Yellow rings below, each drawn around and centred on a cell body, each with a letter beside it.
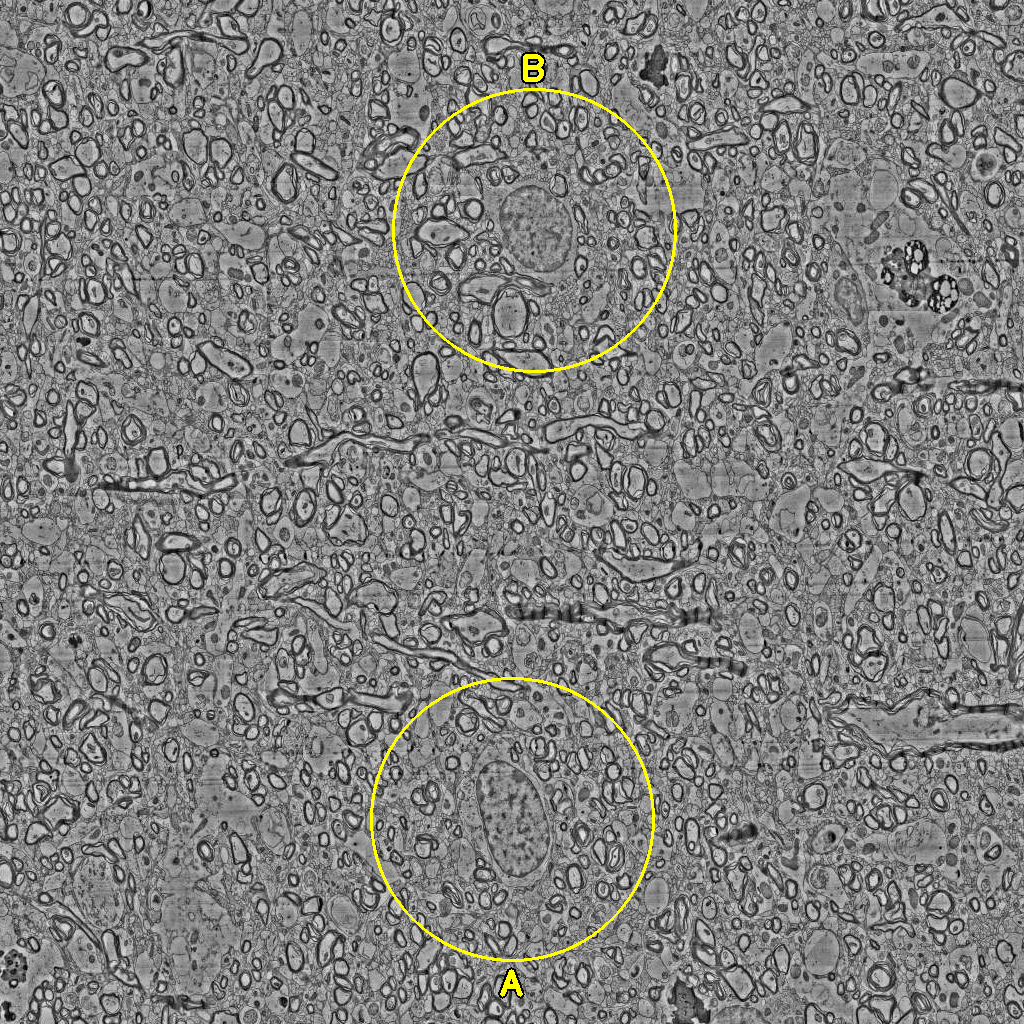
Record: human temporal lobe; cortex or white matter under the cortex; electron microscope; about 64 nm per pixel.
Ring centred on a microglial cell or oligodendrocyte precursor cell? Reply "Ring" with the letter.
Ring A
